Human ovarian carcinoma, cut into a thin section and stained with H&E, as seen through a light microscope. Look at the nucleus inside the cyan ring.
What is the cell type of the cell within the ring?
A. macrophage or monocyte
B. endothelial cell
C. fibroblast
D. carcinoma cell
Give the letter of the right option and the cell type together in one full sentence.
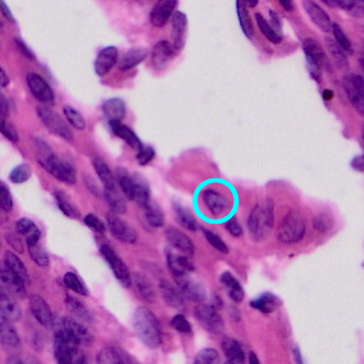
Option B correctly labels the cell within the ring as an endothelial cell.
